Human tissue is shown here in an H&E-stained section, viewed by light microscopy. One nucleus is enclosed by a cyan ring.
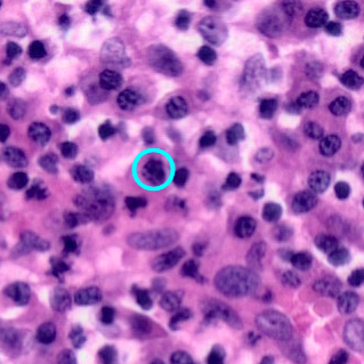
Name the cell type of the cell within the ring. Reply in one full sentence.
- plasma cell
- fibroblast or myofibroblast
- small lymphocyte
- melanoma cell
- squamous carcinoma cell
The expected answer is simply that the cell within the ring is a plasma cell.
